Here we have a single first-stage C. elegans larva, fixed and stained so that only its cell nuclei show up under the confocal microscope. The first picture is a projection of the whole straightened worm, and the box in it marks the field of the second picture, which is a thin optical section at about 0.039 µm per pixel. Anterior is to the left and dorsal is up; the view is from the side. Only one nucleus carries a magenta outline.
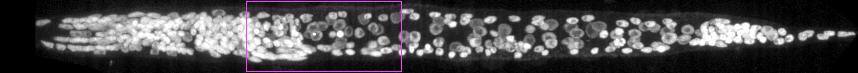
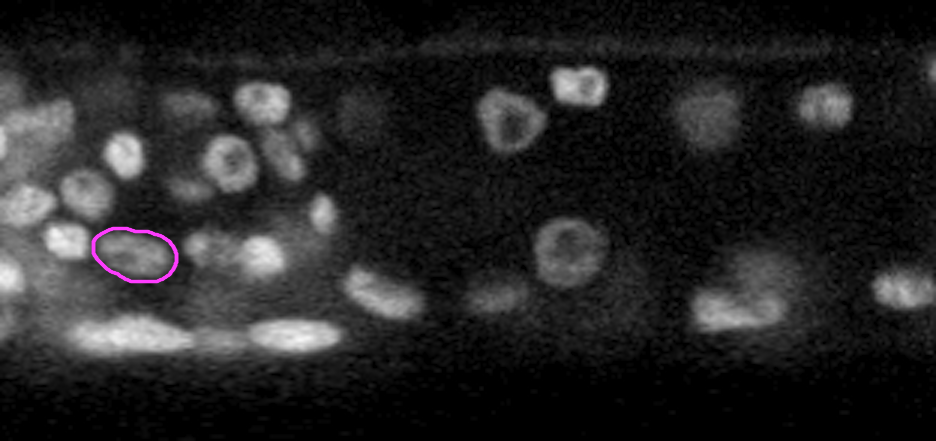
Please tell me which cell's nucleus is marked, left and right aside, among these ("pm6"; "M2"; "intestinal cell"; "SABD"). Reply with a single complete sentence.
It belongs to pm6, a pharyngeal muscle cell.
